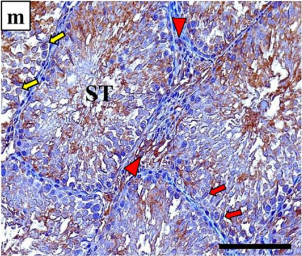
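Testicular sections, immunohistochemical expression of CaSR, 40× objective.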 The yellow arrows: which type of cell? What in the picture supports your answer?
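Spermatogonia. The marked cells sit at the periphery of the tubule against its wall. They form the outermost layer of the germinal epithelium.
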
